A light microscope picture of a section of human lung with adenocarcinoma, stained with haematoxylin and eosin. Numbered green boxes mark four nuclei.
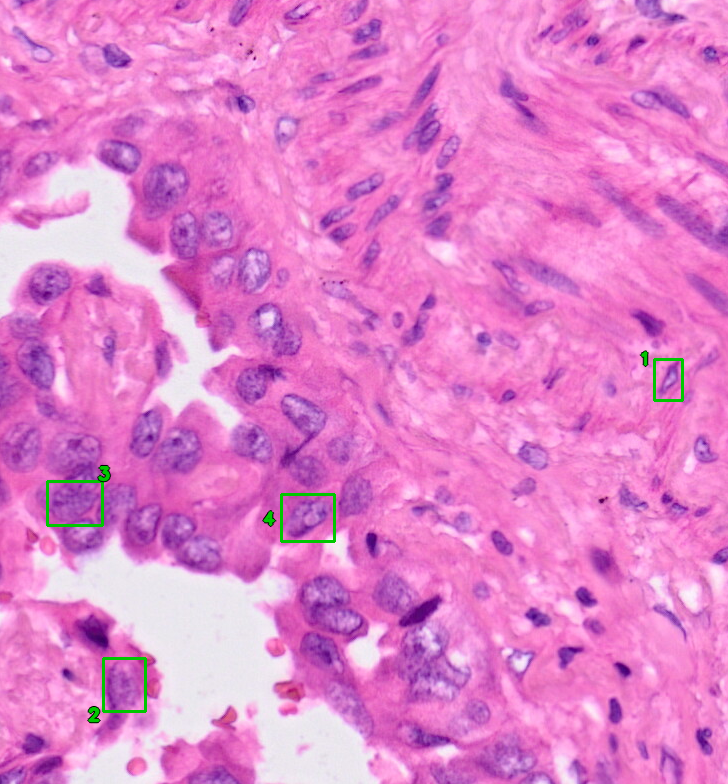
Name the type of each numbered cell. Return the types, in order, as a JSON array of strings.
["smooth muscle cell or pericyte", "carcinoma cell", "carcinoma cell", "carcinoma cell"]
